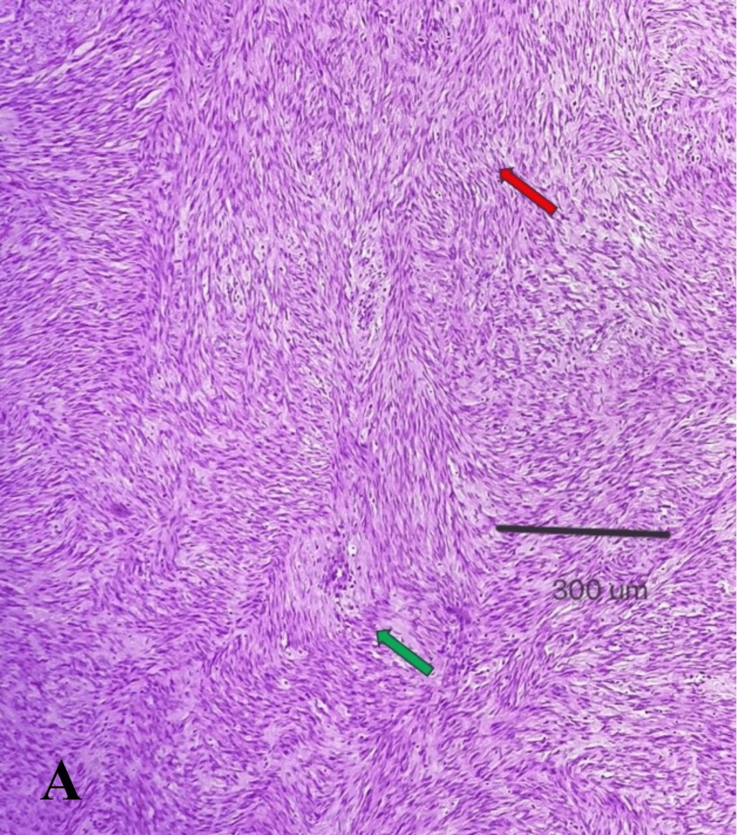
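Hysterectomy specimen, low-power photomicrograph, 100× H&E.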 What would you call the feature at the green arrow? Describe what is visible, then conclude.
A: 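Bundles of spindle cells run in different directions and cross each other. The arrowed area lies where two bundles meet at an angle. On this evidence: interlacing fascicles.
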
